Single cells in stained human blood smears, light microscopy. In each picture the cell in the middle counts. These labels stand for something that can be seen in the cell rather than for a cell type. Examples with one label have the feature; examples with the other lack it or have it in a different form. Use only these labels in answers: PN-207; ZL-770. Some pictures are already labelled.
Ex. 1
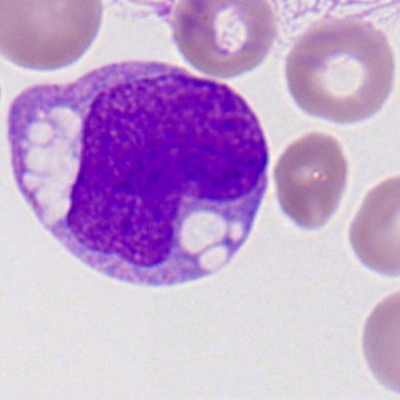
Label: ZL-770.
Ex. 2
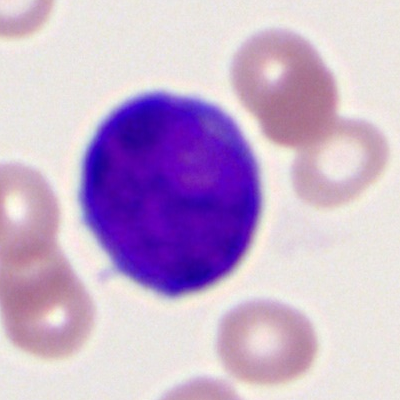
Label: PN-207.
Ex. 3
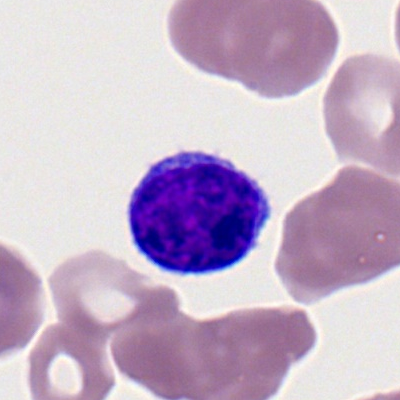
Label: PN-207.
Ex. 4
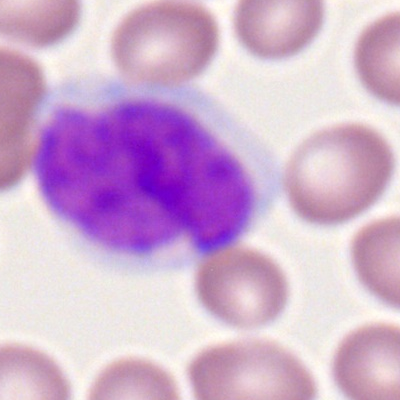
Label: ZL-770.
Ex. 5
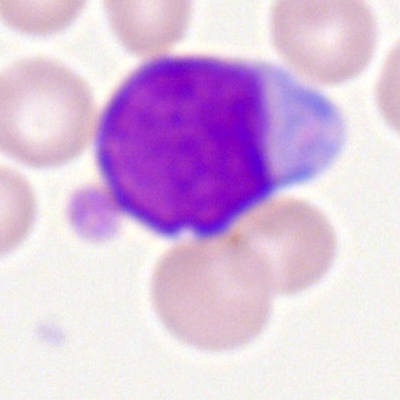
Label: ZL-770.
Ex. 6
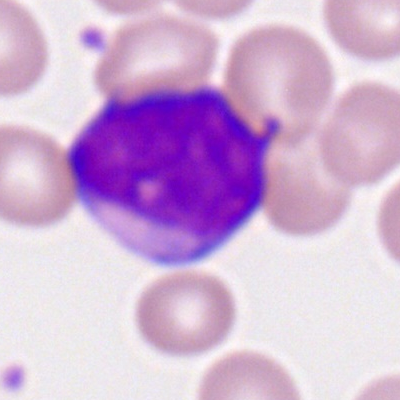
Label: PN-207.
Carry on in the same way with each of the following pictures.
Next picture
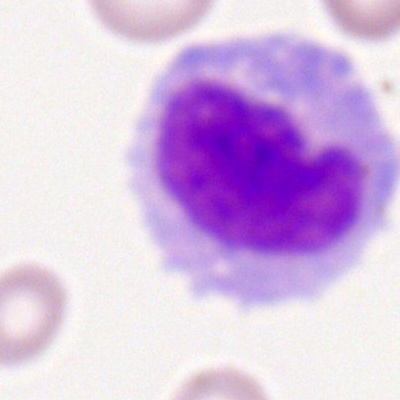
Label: PN-207.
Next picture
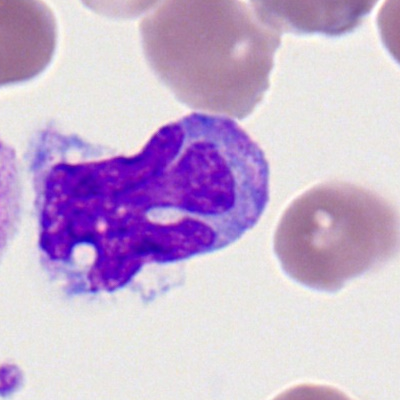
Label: PN-207.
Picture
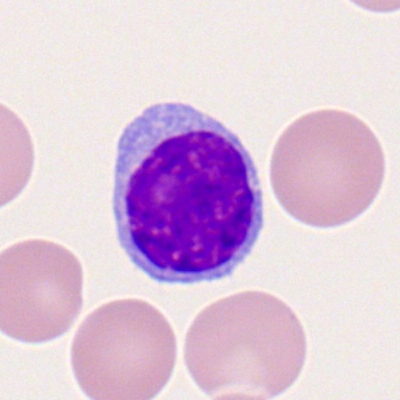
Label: ZL-770.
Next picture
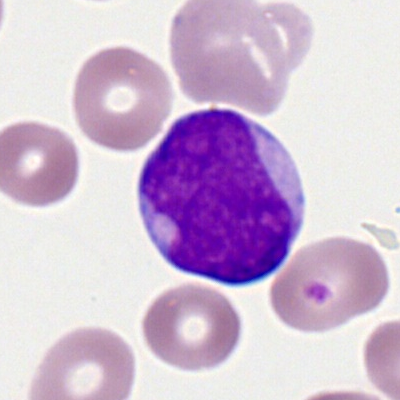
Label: ZL-770.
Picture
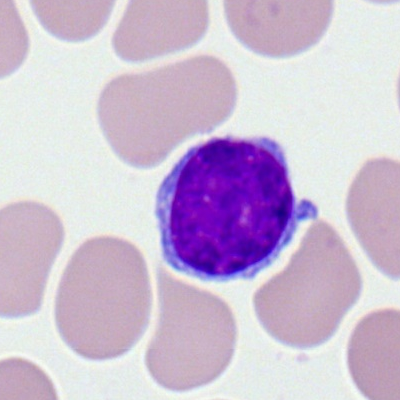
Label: PN-207.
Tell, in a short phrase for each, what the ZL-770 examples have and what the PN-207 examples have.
ZL-770: smooth outline; PN-207: ragged outline or projections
